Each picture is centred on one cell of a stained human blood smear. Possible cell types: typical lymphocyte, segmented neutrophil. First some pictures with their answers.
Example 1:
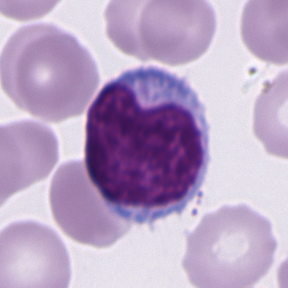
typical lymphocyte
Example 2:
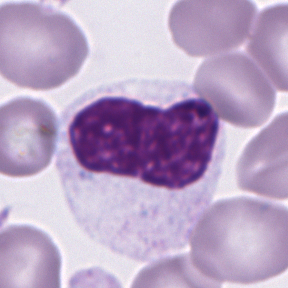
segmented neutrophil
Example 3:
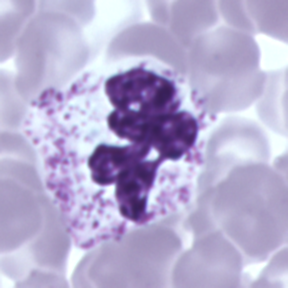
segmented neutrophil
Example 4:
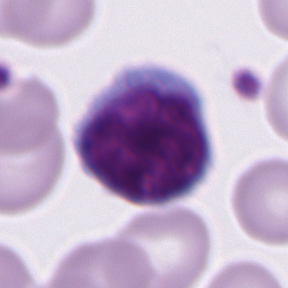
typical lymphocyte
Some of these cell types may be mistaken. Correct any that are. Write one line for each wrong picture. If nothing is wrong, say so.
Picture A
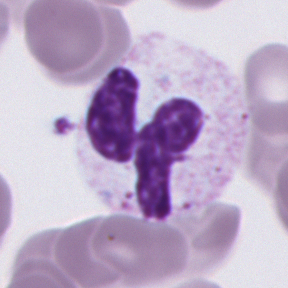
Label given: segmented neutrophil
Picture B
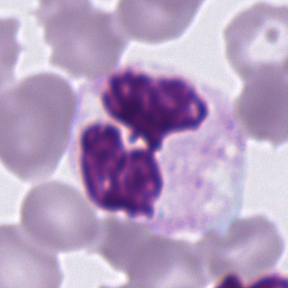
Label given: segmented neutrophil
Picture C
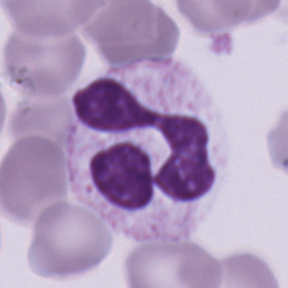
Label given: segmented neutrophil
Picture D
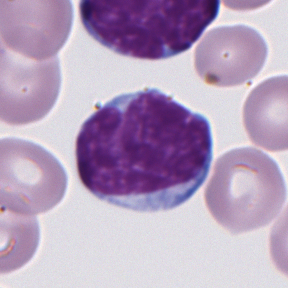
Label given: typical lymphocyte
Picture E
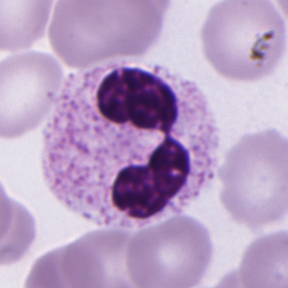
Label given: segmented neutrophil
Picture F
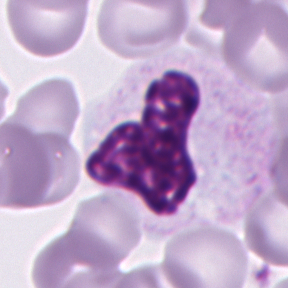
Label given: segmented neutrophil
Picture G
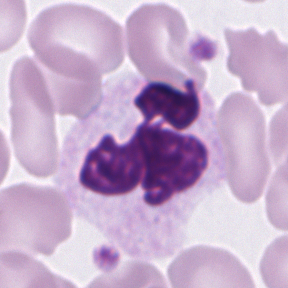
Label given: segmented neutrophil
Every label is right.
